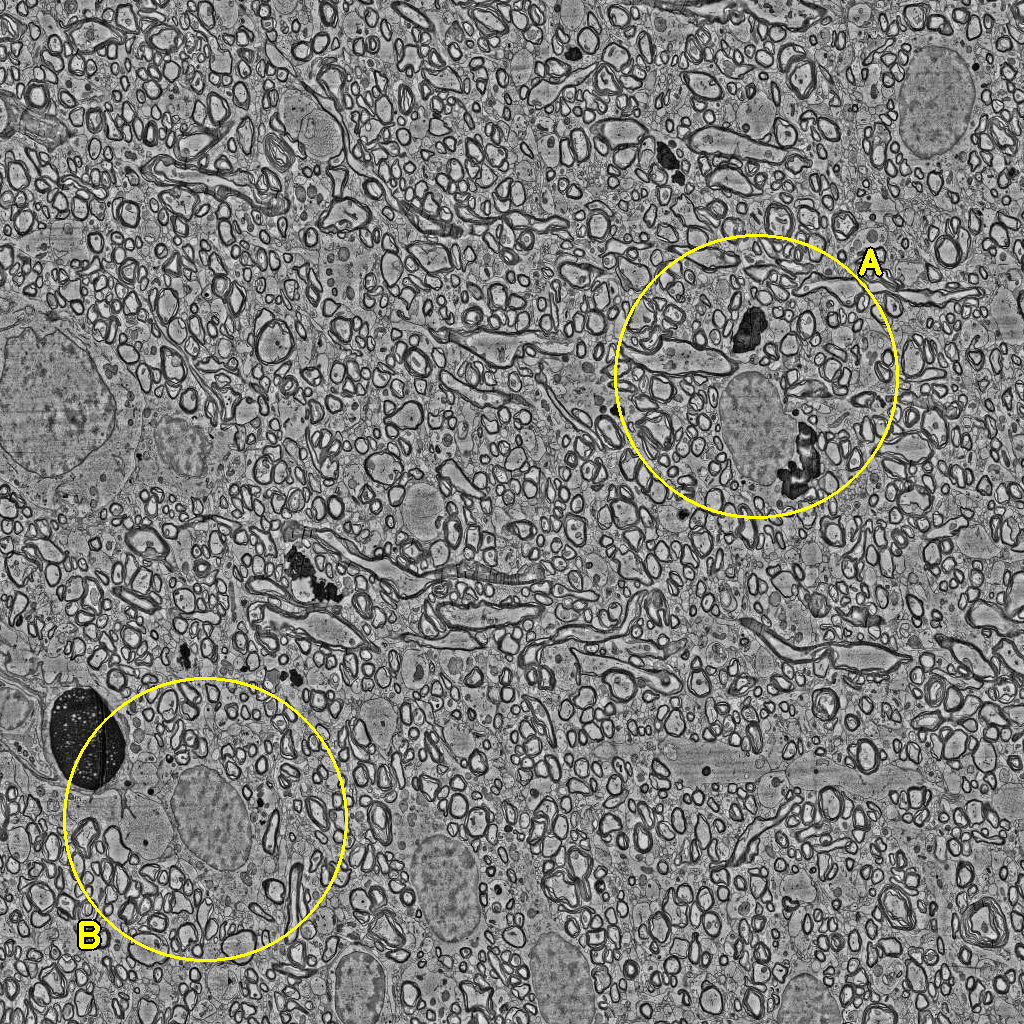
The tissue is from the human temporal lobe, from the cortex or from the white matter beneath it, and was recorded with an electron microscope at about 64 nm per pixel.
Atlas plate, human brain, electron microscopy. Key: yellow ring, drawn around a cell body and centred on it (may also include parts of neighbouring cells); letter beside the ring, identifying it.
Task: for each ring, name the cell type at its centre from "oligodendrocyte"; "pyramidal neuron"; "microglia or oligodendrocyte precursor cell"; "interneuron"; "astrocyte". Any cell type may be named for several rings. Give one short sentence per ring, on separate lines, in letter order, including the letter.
Ring A is centred over an oligodendrocyte.
Ring B is centred over an oligodendrocyte.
